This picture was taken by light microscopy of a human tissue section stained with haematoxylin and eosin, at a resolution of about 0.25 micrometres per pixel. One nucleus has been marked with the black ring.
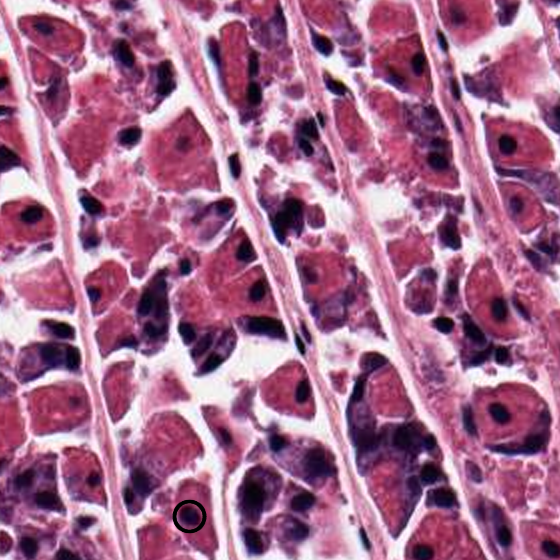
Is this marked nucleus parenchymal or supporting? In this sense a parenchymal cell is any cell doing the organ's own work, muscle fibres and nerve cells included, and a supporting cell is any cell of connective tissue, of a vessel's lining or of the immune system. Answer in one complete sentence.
The marked nucleus has as its cell a parenchymal cell, namely a parietal cell.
